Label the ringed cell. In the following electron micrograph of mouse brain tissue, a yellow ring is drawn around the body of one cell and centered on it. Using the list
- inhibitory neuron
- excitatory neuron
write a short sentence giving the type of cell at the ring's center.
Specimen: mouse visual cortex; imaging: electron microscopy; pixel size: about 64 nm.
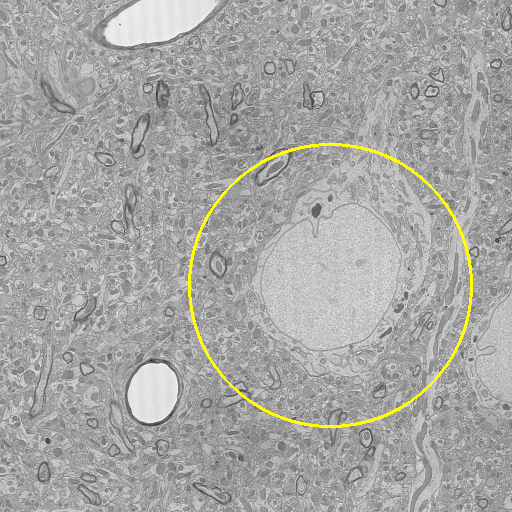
The cell body at the ring's center is that of an excitatory neuron.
